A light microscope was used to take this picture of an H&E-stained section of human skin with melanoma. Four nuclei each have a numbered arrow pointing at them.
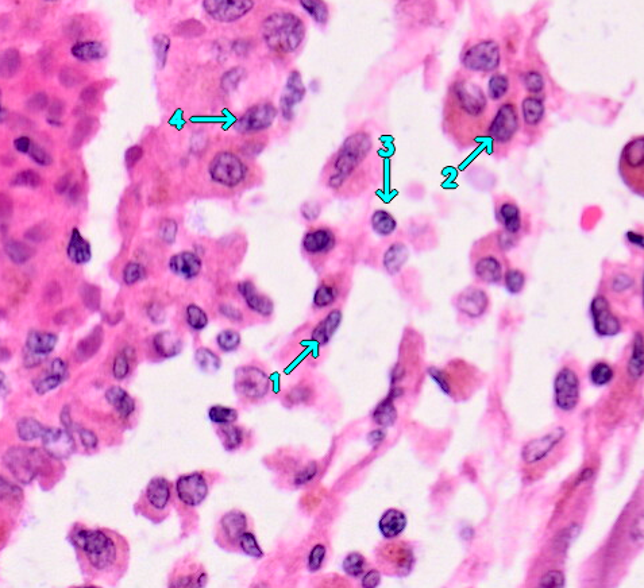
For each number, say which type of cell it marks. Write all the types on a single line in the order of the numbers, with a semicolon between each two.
macrophage or monocyte; macrophage or monocyte; lymphocyte; macrophage or monocyte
